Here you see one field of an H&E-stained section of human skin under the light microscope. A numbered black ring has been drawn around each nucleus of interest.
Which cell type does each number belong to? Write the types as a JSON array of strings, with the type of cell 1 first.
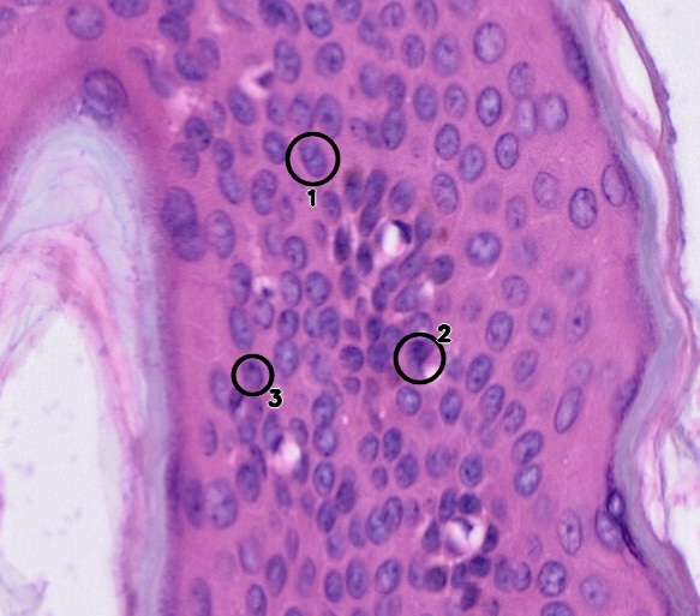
["suprabasal keratinocyte", "basal keratinocyte", "suprabasal keratinocyte"]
